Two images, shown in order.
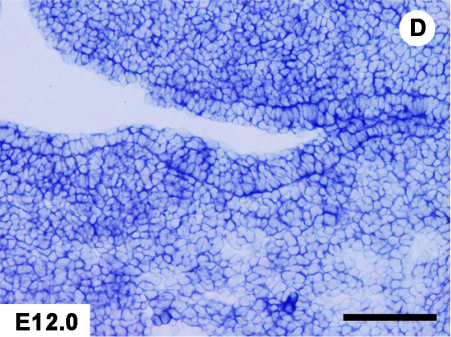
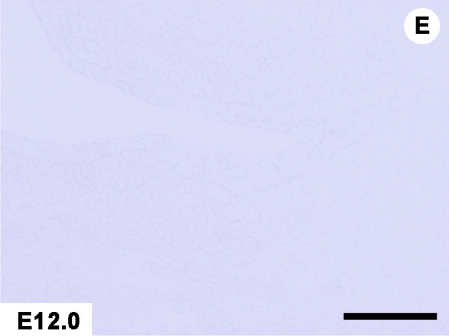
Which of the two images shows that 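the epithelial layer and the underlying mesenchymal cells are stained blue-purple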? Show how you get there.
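Second image: the section is nearly colourless, with only faint outlines of tissue. First image: cell outlines in both the epithelial layer and the mesenchyme below are stained blue-purple. On this evidence: the first image.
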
